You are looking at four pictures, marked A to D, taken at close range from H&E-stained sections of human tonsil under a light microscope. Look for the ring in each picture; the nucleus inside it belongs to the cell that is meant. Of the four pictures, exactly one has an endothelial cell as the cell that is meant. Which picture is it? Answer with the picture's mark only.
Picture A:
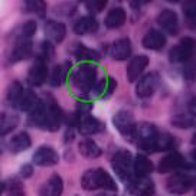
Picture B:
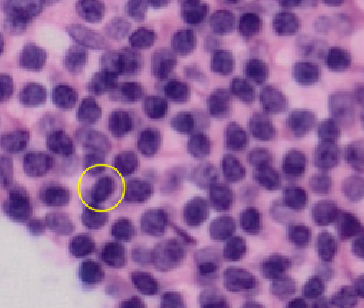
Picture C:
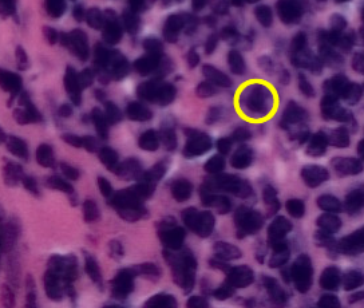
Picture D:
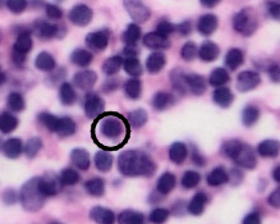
C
